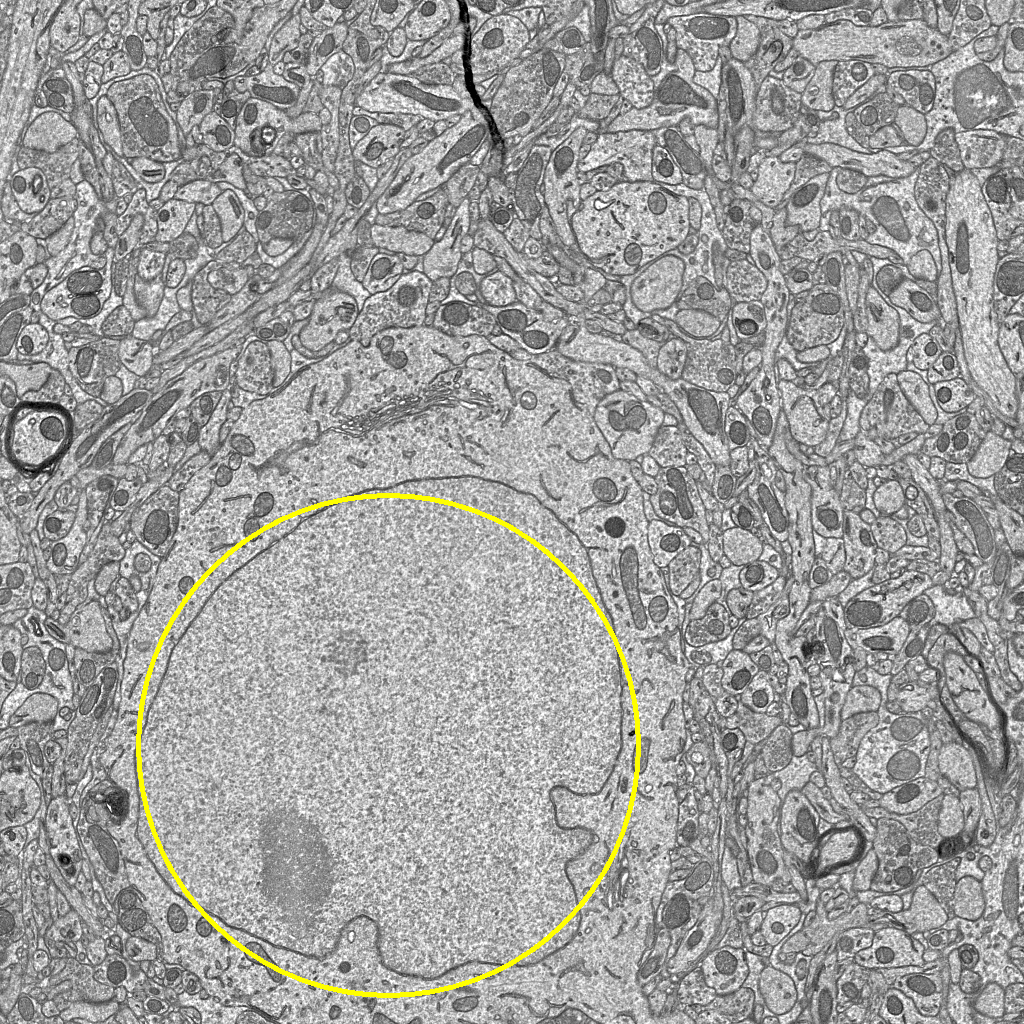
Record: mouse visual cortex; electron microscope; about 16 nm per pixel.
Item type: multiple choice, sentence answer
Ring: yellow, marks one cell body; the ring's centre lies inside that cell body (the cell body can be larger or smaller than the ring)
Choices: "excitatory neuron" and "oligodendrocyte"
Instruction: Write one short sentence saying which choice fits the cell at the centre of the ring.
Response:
The centre of this ring lies on an excitatory neuron.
